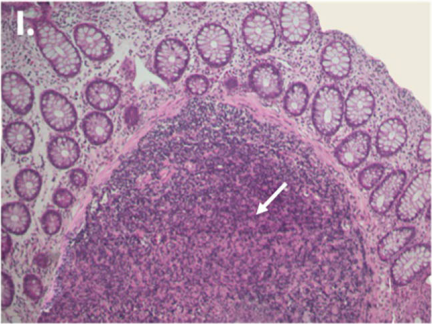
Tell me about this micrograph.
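Intestinal mucosa with regular crypts cut in cross section, their lining rich in pale, mucus-filled goblet cells, sits above a large rounded lymphoid follicle. No ulceration or granulomas are seen in the surrounding mucosa.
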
